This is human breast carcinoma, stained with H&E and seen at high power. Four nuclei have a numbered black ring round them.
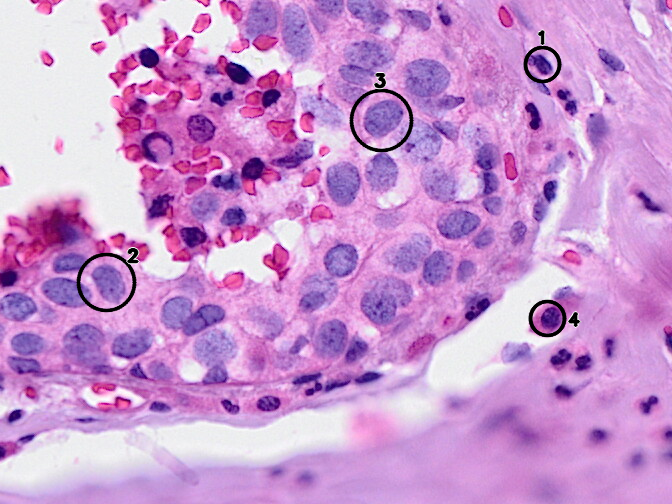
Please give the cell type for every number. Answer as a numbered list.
1. lymphocyte
2. carcinoma cell
3. carcinoma cell
4. mast cell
